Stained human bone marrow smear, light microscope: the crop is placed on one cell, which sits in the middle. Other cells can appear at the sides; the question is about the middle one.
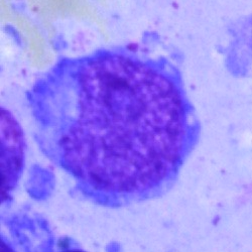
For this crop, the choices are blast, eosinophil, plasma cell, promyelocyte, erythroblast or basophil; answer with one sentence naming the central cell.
The cell in the middle of the field of view is a blast.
